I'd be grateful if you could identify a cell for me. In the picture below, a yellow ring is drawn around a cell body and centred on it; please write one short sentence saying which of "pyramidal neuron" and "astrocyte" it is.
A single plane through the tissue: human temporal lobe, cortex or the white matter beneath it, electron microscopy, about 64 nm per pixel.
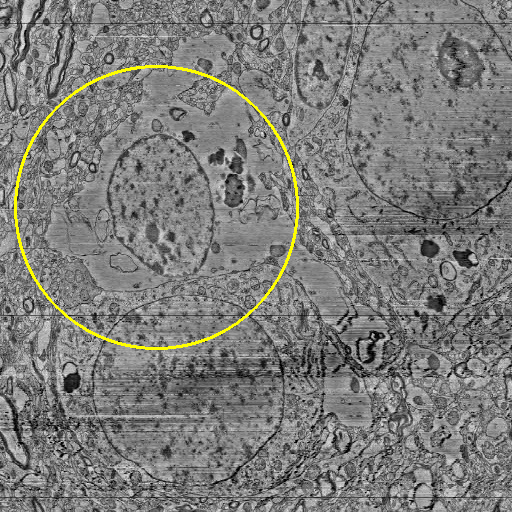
The cell under the ring's centre is an astrocyte.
